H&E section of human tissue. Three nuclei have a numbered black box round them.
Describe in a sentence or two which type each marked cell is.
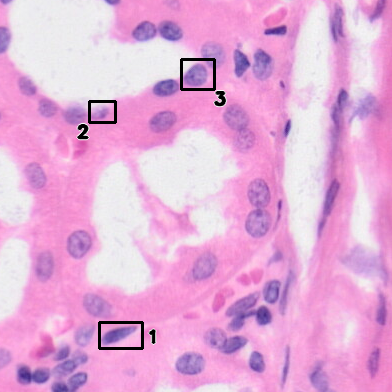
Cell 1 is an endothelial cell, cell 2 is a loop of Henle or distal tubule cell and cell 3 is a loop of Henle or distal tubule cell.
